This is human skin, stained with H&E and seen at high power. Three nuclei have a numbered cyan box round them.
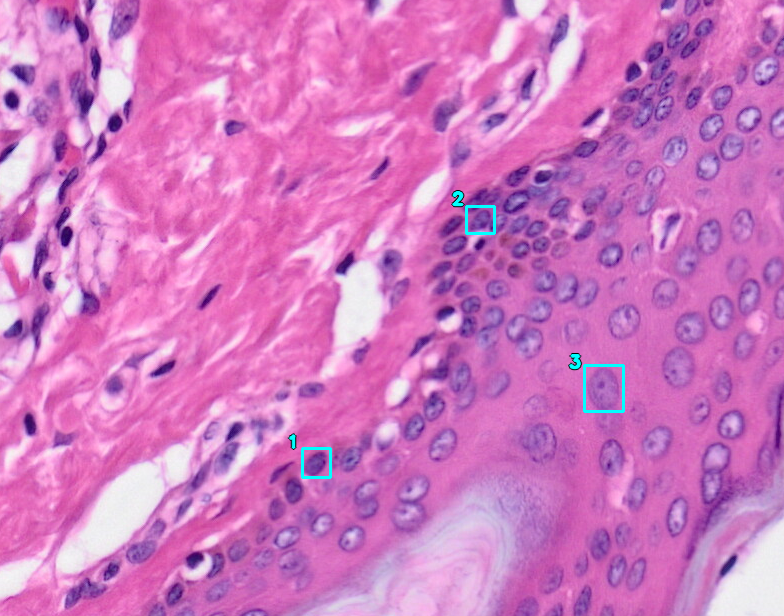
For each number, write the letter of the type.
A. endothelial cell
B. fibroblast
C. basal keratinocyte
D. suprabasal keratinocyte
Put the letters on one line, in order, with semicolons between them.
C; C; D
